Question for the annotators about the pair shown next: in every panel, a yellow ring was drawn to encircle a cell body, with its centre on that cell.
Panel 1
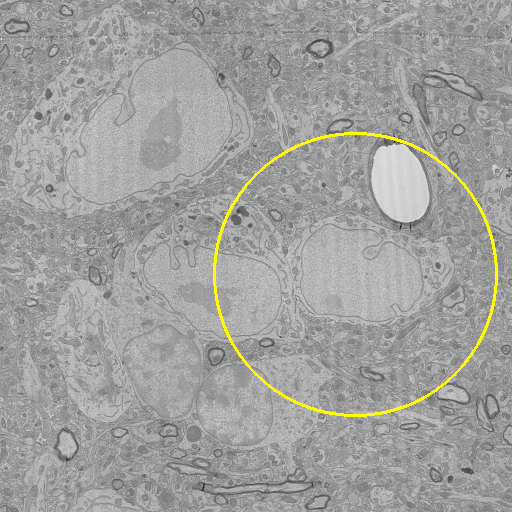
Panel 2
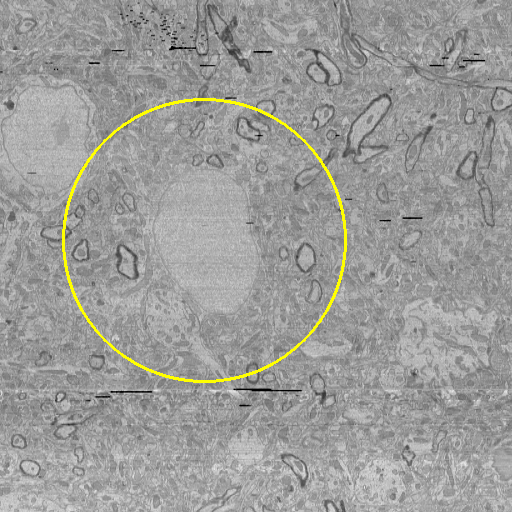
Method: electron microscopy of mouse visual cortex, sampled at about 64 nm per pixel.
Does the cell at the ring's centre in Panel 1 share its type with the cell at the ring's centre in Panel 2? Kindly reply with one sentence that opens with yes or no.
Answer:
No, in Panels 1 and 2 the cells at the ring centres belong to separate types.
